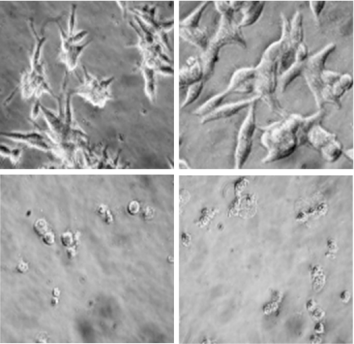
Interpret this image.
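In the upper row the cells are flat, elongated to polygonal and spread on the dish, with tapering cytoplasmic processes that reach out from the cell bodies. These upper cells lie in loose groups, touching one another at their processes, and their bright outlines give them a relief-like look. In the lower row the cells are far fewer and much smaller, and most are rounded and refractile with no spreading processes. These rounded cells lie singly or in small clumps scattered over a largely empty background, quite unlike the spread, attached cells above.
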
